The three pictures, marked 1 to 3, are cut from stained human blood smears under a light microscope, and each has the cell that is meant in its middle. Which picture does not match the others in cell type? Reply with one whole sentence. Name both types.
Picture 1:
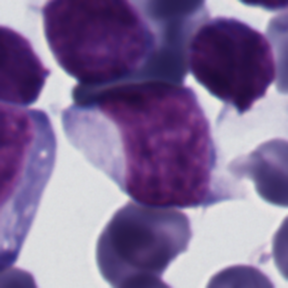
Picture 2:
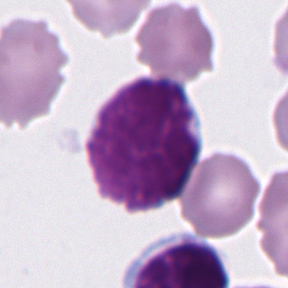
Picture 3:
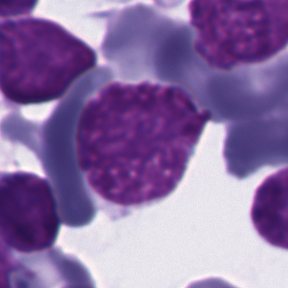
All pictures except 2 show myeloblasts; picture 2 shows a smudge cell.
